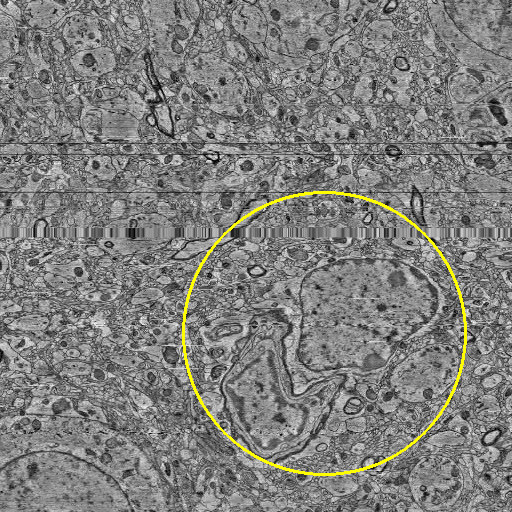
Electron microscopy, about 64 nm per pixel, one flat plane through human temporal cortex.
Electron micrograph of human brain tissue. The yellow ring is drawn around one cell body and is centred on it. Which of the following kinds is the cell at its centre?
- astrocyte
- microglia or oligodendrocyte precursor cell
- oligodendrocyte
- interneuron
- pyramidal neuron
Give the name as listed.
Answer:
microglia or oligodendrocyte precursor cell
